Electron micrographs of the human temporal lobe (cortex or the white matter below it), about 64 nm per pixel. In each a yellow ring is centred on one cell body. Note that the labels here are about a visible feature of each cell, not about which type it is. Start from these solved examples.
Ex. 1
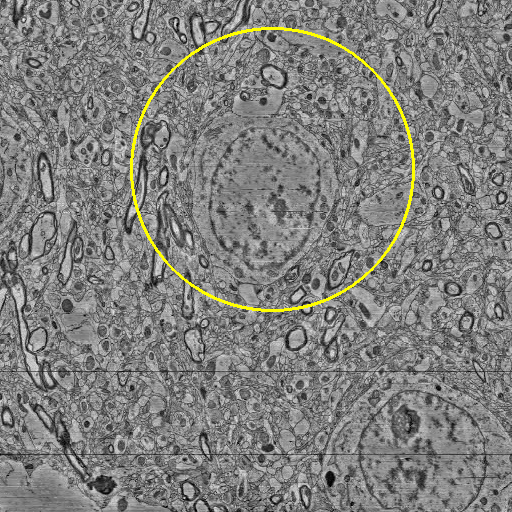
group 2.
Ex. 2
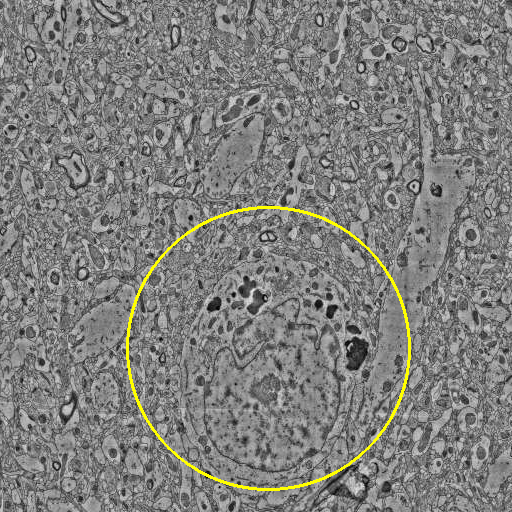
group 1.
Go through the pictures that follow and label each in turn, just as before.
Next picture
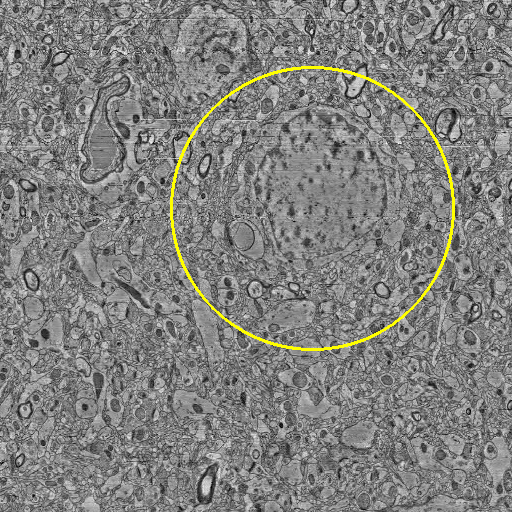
group 2.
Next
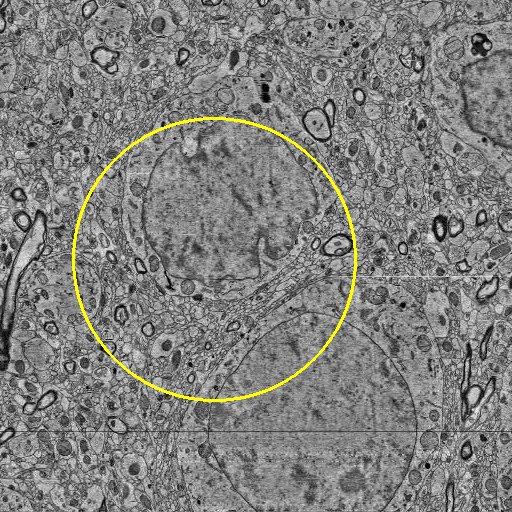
group 1.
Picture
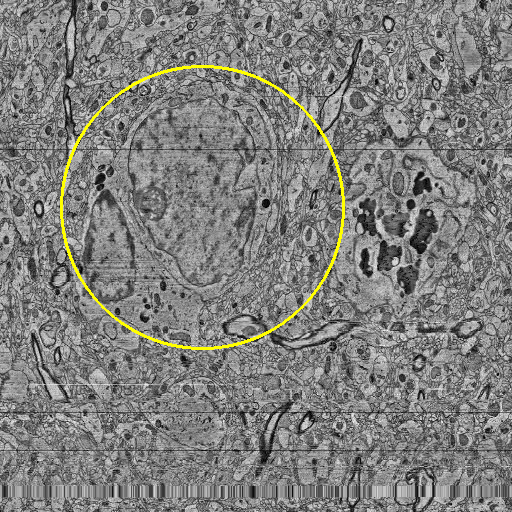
group 1.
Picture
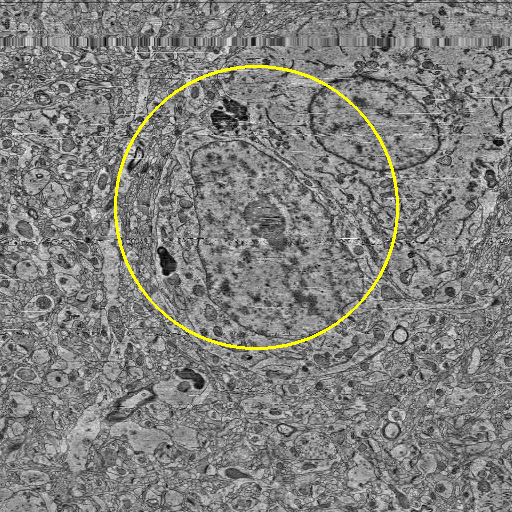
group 2.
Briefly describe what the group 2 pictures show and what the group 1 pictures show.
Seen in group 2: smooth nuclear envelopes without deep folds; seen in group 1: deeply folded or indented nuclear envelopes.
